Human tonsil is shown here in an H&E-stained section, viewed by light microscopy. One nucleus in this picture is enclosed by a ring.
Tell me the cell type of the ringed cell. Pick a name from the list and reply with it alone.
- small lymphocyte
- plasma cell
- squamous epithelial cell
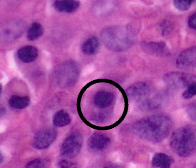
squamous epithelial cell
